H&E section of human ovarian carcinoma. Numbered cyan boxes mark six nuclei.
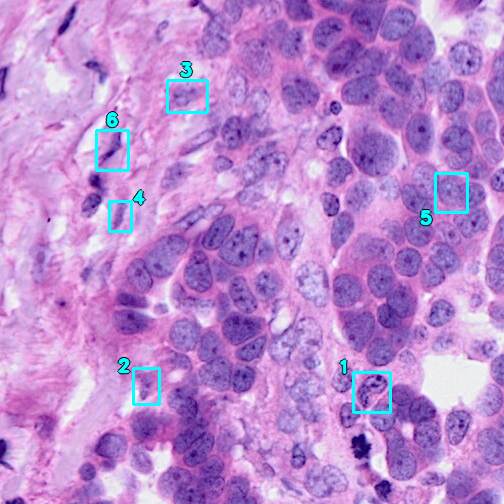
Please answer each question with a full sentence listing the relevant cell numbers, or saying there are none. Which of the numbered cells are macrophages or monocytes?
The cell bearing the number 1 is a macrophage or monocyte, unlike the rest of the numbered cells.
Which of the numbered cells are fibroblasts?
The cells carrying the numbers 2, 3, 4 and 6 are fibroblasts.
